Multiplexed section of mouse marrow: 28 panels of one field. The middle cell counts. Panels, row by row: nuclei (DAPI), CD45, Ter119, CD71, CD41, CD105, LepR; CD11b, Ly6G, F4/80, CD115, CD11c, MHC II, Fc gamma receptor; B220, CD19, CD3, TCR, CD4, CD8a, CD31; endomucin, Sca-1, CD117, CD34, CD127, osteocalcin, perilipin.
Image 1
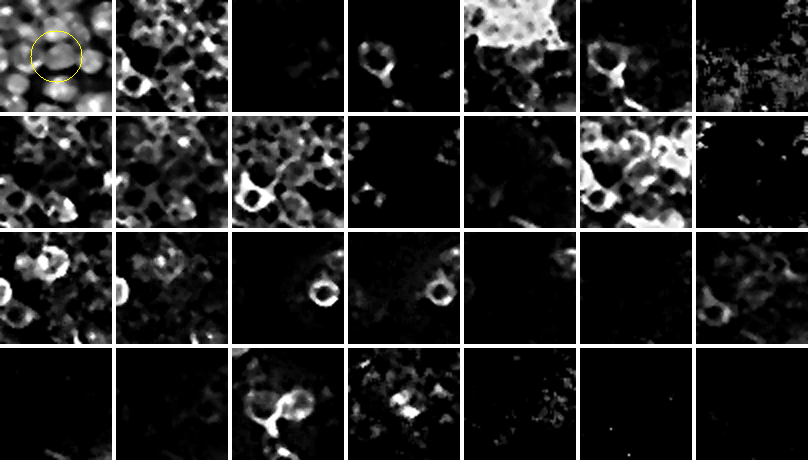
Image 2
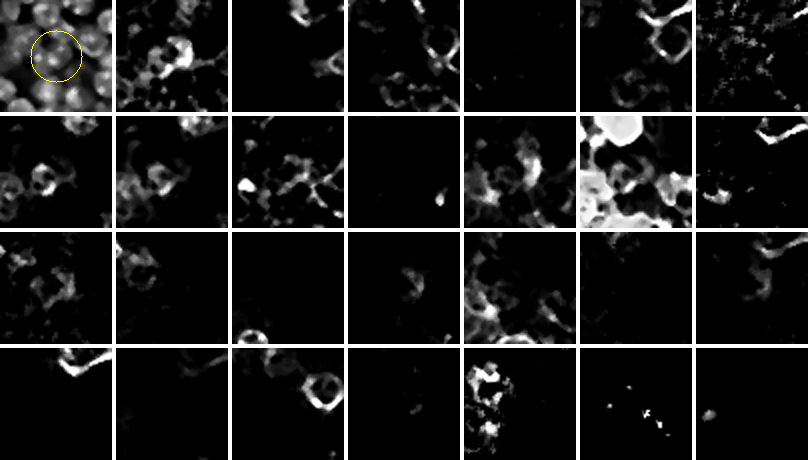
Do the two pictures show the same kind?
No: a megakaryocyte progenitor, then a conventional dendritic cell.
